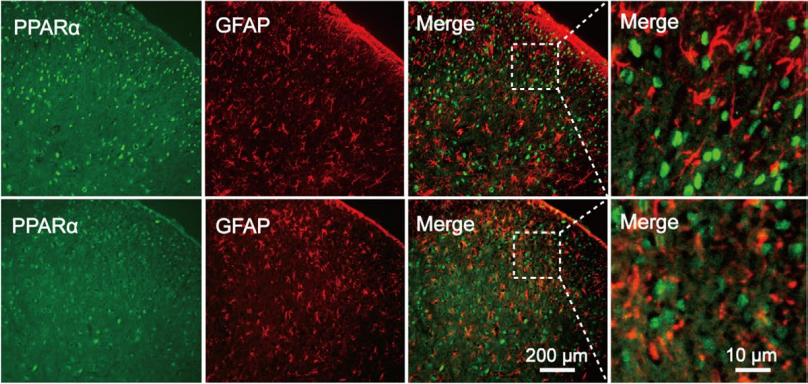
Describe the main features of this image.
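The red cells are small and star-shaped, each sending several thin, radiating processes into the surrounding tissue; along the curved outer edge the red processes gather into a continuous bright band. Green label appears as round to oval, nucleus-sized spots packed through the grey matter. In the enlarged merge views the green spots sit between the red star-shaped cells and their processes rather than within them. The lower row shows fainter, more diffuse green with fewer distinct spots.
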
